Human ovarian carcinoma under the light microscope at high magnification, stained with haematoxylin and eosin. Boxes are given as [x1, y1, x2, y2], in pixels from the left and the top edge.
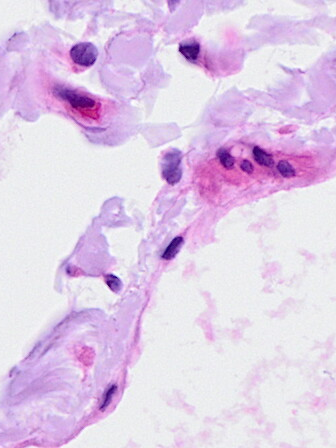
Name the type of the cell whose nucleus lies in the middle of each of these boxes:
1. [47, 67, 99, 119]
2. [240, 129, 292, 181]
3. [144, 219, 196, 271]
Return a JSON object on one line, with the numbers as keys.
{"1": "endothelial cell", "2": "smooth muscle cell", "3": "fibroblast"}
